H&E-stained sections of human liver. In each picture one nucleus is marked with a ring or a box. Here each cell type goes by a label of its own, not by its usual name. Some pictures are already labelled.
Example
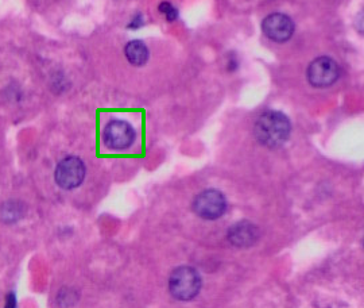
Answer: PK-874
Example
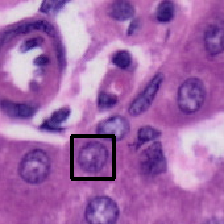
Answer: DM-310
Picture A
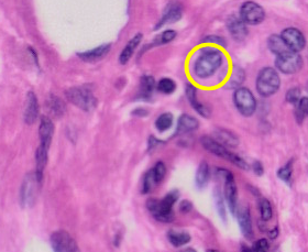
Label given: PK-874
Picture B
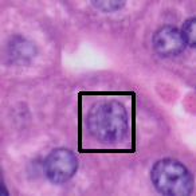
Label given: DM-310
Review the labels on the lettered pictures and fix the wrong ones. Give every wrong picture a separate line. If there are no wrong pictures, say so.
A: change PK-874 to DM-310
B: change DM-310 to PK-874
